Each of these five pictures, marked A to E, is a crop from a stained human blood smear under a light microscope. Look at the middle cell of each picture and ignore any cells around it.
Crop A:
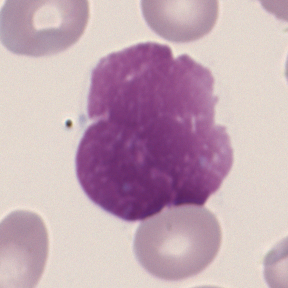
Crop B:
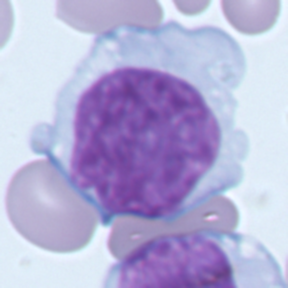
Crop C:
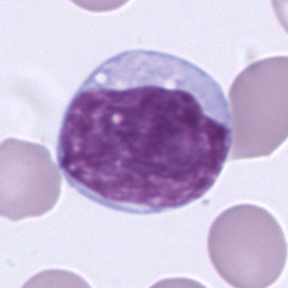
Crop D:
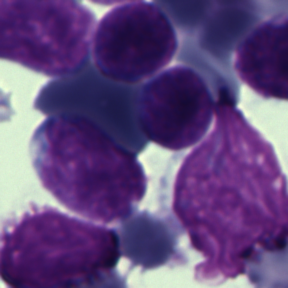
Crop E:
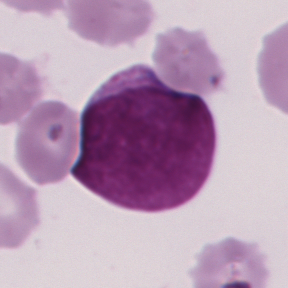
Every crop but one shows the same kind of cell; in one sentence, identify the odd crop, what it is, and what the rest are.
The exception is crop A, with a smudge cell; the remaining crops all show myeloblasts.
